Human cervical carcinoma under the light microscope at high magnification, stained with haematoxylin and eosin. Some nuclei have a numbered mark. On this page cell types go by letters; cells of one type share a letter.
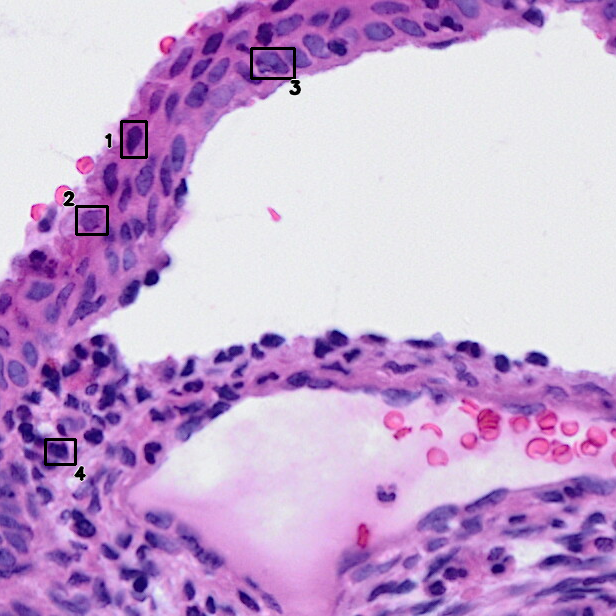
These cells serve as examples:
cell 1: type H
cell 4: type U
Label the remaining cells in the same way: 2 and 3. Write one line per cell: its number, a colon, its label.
2: type H
3: type H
